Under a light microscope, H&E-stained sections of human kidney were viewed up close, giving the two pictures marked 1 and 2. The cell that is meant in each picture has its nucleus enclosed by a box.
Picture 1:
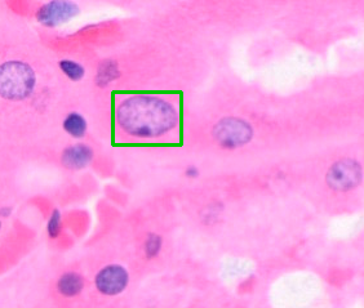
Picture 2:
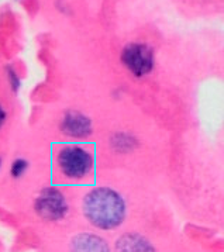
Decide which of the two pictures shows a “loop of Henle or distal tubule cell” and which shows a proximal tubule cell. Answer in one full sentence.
The cell in picture 1 is a proximal tubule cell, and the one in picture 2 is a “loop of Henle or distal tubule cell”.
